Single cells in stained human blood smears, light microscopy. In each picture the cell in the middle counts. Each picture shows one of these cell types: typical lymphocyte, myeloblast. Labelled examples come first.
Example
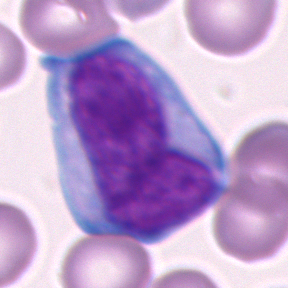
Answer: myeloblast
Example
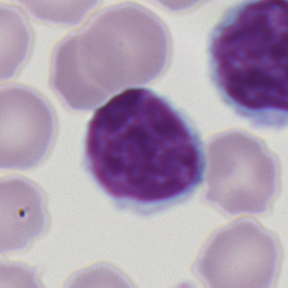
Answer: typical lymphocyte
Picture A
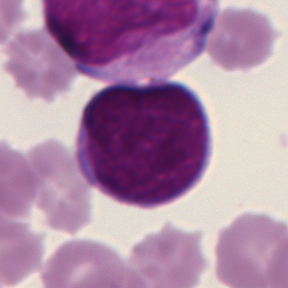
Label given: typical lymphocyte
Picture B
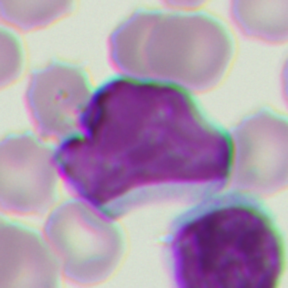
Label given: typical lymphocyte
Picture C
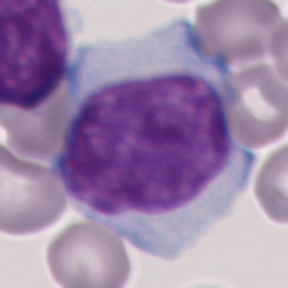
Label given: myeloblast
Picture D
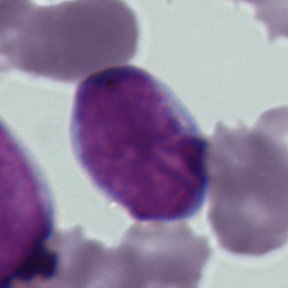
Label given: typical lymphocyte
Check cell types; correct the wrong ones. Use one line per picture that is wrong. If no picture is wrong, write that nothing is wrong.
Wrong: A (typical lymphocyte); correct: myeloblast
Wrong: D (typical lymphocyte); correct: myeloblast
